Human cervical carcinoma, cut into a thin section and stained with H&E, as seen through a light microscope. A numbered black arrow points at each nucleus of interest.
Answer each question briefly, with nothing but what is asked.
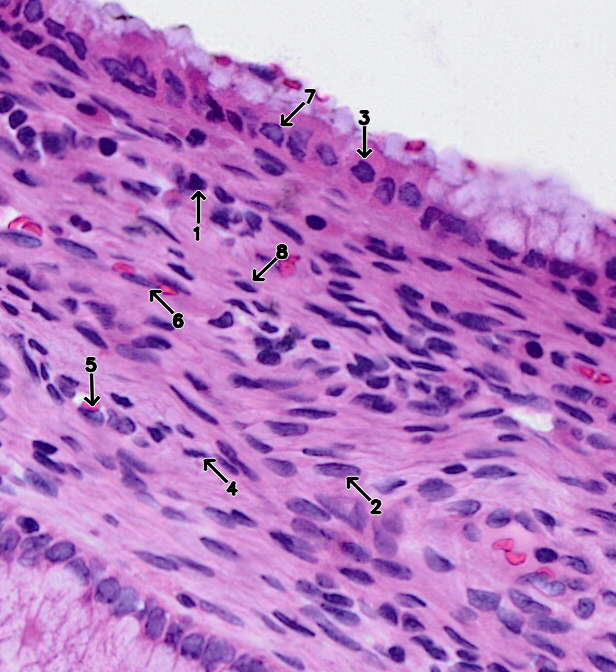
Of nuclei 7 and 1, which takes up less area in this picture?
1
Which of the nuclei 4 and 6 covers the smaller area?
4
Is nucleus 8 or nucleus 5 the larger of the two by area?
5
